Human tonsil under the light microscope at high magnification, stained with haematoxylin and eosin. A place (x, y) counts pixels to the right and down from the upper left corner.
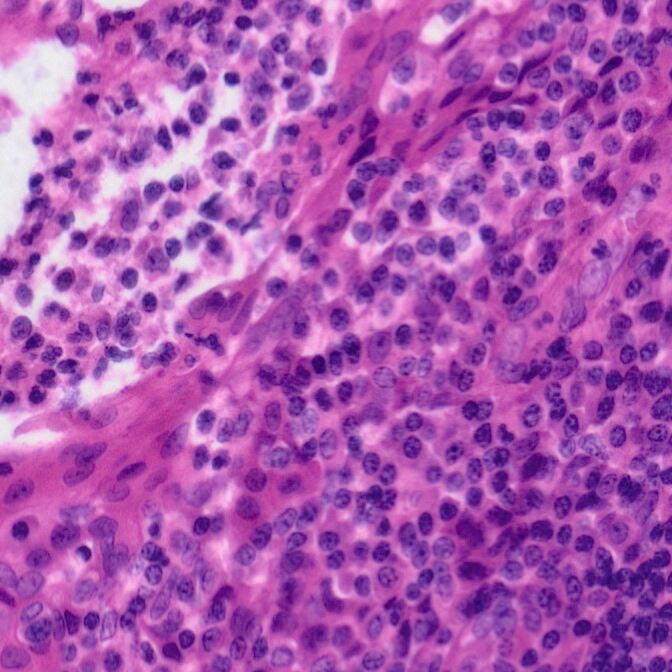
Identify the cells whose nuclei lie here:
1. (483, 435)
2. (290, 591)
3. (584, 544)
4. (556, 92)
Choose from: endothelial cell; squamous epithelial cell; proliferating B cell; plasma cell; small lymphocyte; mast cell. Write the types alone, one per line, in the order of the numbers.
plasma cell
squamous epithelial cell
plasma cell
plasma cell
